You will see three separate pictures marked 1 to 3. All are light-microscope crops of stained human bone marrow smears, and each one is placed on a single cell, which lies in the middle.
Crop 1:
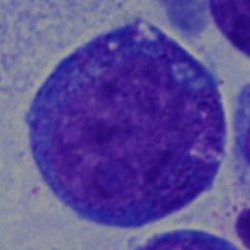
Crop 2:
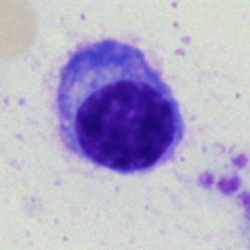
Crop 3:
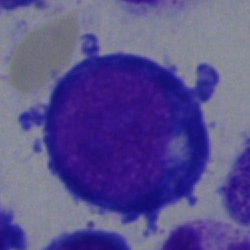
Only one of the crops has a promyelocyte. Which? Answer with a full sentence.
Crop 1 is the crop whose central cell is a promyelocyte.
